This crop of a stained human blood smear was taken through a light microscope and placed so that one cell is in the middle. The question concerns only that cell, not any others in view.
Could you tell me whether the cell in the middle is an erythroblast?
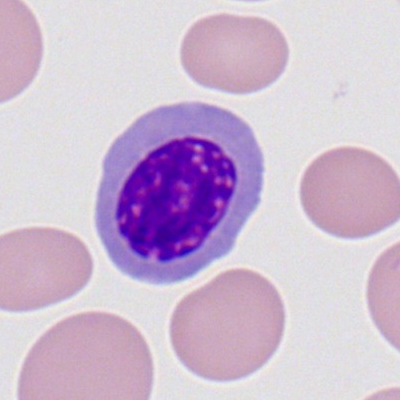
yes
